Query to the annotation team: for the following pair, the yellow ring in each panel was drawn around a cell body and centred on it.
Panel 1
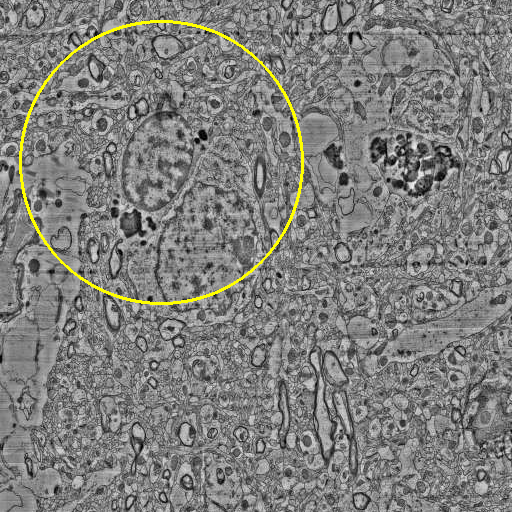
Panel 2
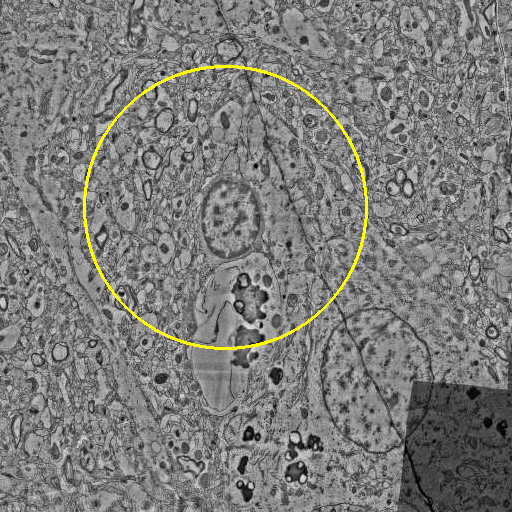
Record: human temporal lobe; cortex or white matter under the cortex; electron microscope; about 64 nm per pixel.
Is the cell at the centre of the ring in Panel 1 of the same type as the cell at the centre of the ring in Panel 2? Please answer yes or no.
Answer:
yes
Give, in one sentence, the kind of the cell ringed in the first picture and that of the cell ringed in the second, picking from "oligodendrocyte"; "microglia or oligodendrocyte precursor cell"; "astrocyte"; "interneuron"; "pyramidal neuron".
Each of the two rings surrounds an oligodendrocyte.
